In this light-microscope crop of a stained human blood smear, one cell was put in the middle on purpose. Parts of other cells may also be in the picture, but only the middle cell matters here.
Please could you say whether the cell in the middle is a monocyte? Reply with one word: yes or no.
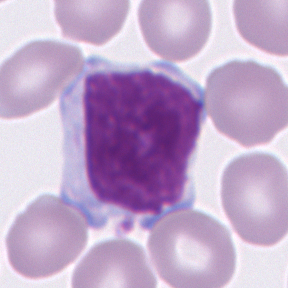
no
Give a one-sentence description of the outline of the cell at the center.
Smoothness is lacking at the edge, which is ragged in places or drawn into projections.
